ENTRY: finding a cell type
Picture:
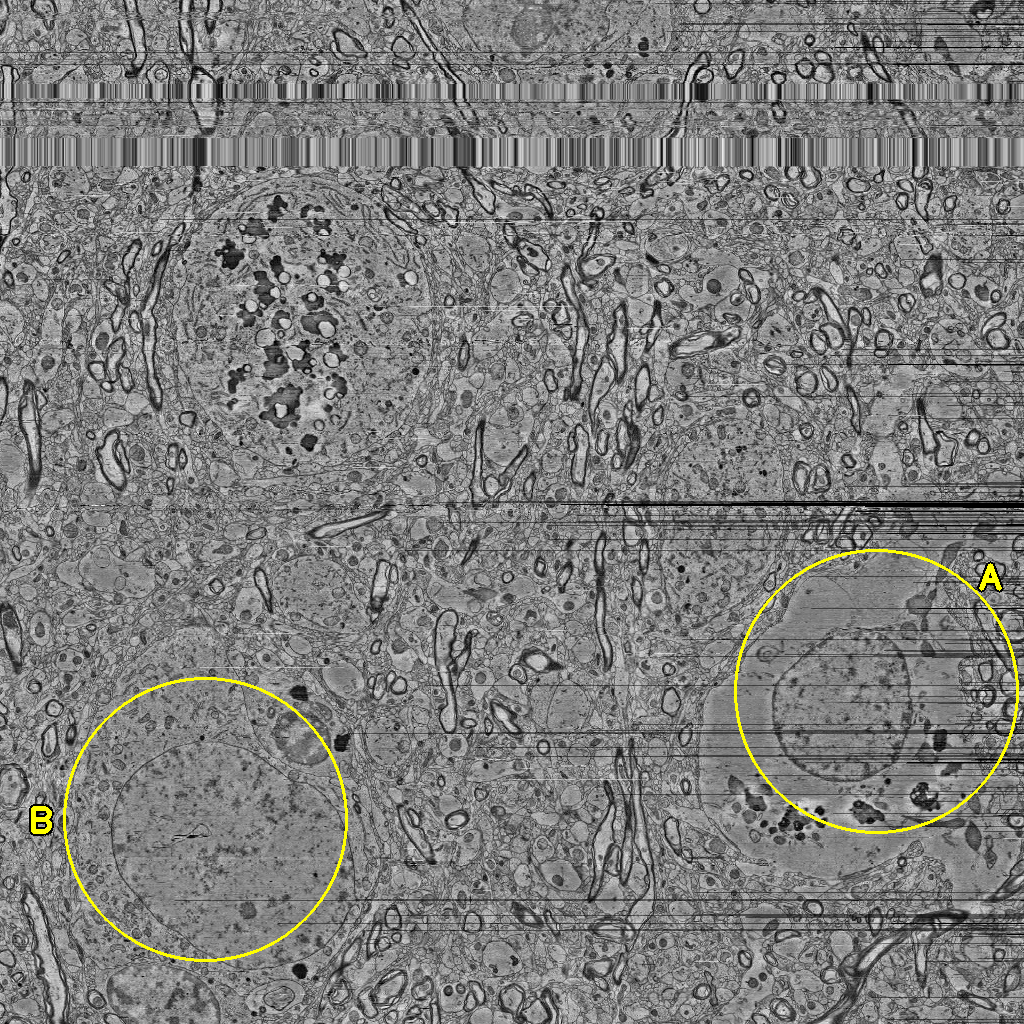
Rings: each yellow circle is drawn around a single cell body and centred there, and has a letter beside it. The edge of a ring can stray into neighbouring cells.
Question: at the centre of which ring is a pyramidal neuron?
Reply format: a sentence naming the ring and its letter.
The answer is ring B, the one centred on the cell asked for.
